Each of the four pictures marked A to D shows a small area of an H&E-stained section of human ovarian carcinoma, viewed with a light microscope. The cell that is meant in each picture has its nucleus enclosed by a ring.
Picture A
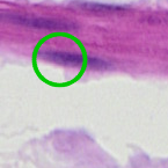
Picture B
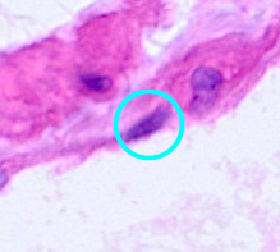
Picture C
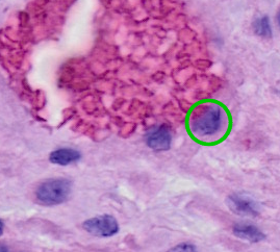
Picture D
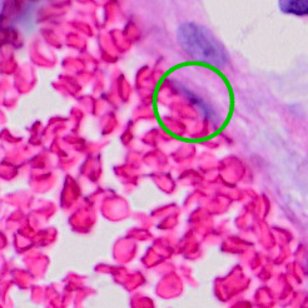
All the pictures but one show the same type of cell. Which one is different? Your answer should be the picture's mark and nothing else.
A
